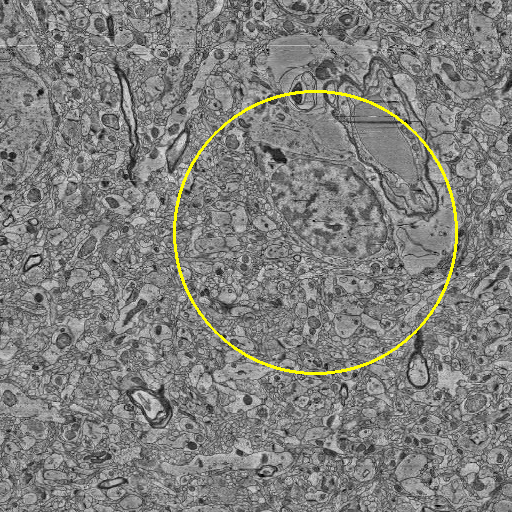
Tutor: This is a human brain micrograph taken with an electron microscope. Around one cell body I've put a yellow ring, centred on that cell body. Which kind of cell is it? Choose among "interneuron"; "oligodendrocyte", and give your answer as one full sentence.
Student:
Going by your list, the cell centred in the yellow ring is an oligodendrocyte.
